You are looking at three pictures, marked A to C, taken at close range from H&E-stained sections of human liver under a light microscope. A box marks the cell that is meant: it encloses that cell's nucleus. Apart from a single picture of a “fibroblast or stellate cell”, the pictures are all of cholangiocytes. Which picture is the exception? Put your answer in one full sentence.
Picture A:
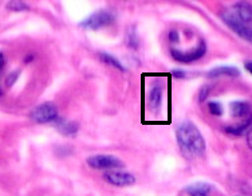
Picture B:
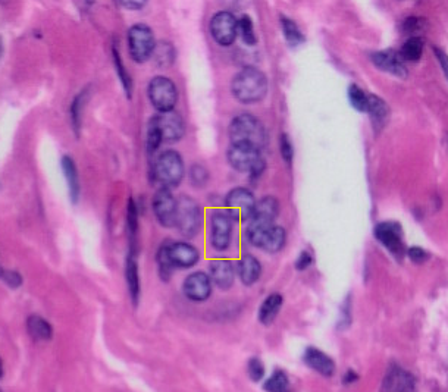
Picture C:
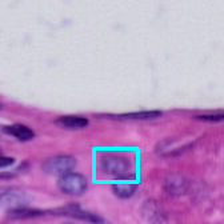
The “fibroblast or stellate cell” is the one in picture A.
